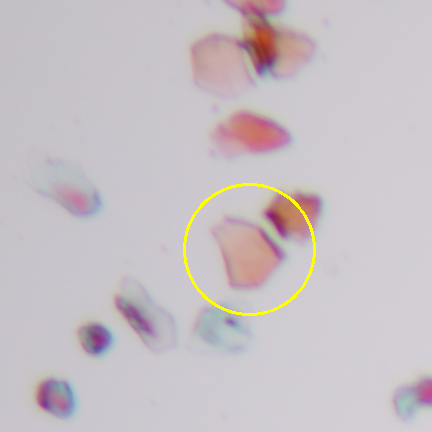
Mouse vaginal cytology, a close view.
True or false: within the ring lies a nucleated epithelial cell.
False: a cornified epithelial cell lies within the ring.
